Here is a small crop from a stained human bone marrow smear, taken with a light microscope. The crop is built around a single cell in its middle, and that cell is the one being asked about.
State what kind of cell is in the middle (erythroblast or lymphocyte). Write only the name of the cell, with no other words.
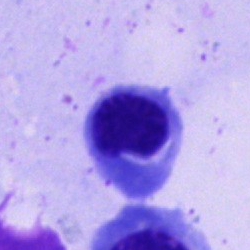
erythroblast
